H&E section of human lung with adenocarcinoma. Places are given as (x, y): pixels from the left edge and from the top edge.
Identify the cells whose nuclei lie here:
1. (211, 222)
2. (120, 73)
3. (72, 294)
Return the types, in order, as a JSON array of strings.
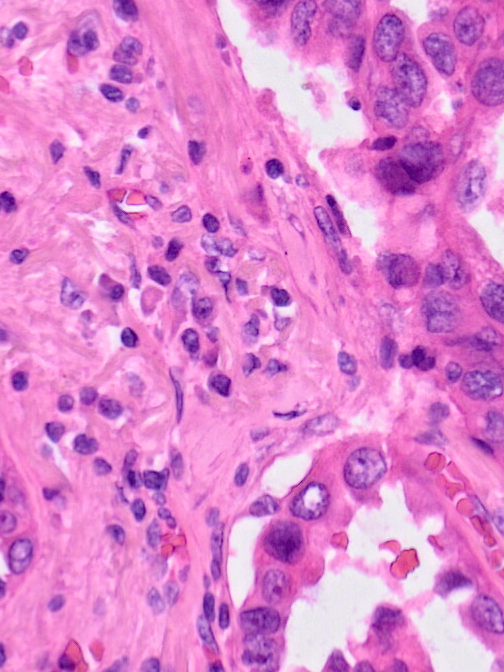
["lymphocyte", "lymphocyte", "fibroblast"]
